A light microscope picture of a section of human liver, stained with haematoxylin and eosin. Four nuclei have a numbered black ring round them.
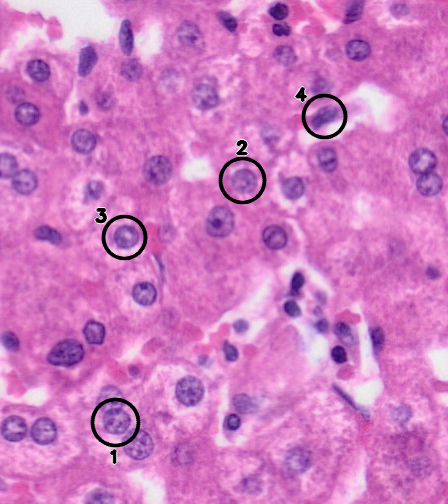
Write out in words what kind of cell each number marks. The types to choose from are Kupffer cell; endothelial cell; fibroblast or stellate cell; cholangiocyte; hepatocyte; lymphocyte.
Cell 1 is a hepatocyte, cell 2 is a hepatocyte, cell 3 is a hepatocyte and cell 4 is a Kupffer cell.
